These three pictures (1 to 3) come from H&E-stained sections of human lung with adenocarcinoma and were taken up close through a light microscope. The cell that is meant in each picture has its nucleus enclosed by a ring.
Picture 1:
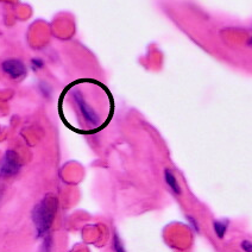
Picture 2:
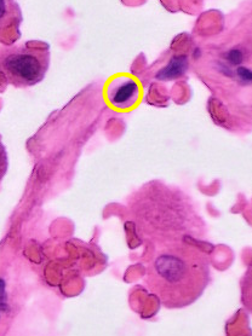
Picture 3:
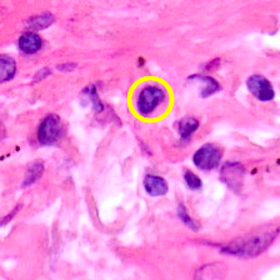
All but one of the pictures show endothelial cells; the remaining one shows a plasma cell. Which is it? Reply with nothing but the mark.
3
